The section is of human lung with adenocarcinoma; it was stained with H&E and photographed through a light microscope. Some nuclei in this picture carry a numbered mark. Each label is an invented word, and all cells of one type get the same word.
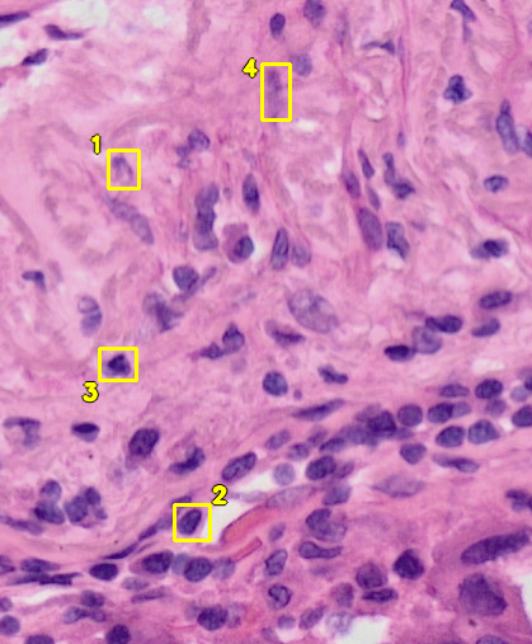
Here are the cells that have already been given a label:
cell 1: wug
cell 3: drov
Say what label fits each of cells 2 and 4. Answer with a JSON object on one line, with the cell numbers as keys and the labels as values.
{"2": "drov", "4": "wug"}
